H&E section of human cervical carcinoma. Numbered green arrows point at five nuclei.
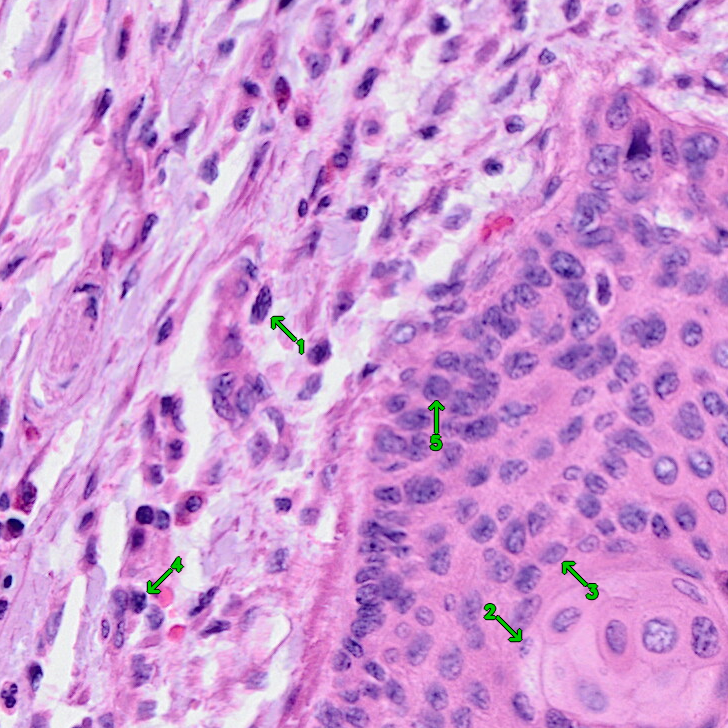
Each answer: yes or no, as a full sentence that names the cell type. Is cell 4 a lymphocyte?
Yes, the cell identified as number 4 is a lymphocyte.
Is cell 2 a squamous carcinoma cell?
Yes, the cell that bears the number 2 is a squamous carcinoma cell.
